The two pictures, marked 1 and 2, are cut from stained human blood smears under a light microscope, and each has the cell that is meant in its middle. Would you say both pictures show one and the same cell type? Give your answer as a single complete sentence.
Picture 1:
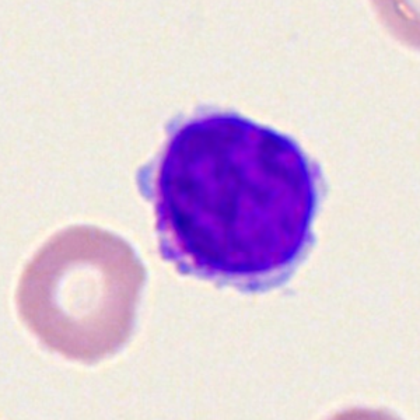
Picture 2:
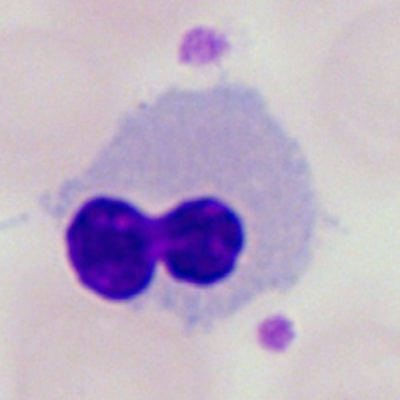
No, they differ: the cell is a lymphocyte in picture 1 and an erythroblast in picture 2.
